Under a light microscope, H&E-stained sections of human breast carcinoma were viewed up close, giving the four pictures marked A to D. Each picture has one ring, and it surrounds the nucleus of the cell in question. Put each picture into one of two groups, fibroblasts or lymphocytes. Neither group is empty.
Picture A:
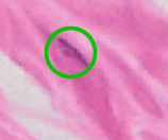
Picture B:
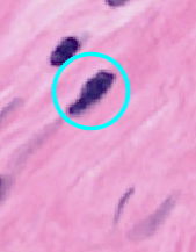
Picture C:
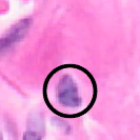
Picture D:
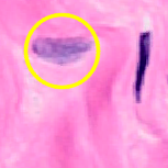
A: fibroblast
B: lymphocyte
C: lymphocyte
D: fibroblast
